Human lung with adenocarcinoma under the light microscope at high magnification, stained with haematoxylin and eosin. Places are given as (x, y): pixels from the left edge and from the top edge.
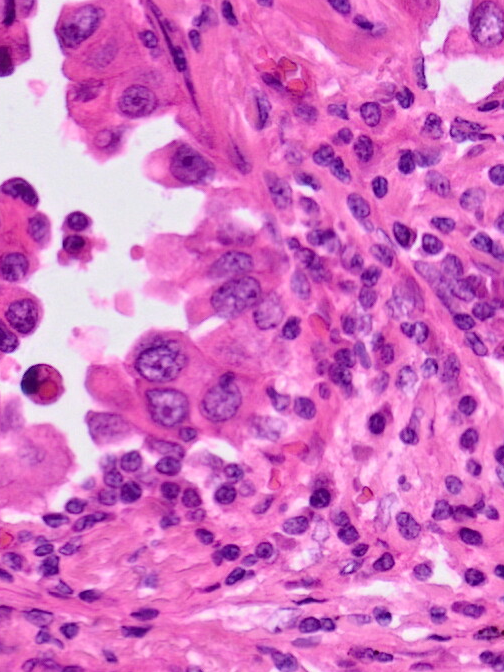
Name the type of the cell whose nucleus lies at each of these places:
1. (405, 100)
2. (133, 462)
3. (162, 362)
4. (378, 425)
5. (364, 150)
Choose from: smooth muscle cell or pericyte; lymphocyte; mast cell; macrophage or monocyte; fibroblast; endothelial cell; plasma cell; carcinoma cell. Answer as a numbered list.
1. lymphocyte
2. lymphocyte
3. carcinoma cell
4. plasma cell
5. plasma cell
